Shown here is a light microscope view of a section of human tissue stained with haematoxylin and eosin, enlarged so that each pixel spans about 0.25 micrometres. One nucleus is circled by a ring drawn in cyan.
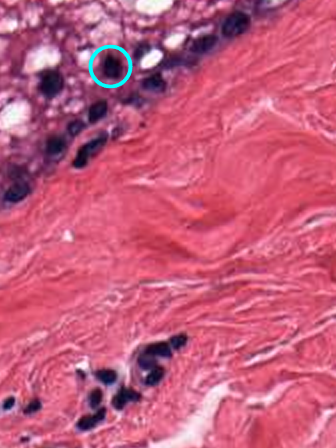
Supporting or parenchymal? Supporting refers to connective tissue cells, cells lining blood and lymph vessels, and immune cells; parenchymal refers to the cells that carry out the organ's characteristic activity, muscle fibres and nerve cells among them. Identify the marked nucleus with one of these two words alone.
parenchymal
